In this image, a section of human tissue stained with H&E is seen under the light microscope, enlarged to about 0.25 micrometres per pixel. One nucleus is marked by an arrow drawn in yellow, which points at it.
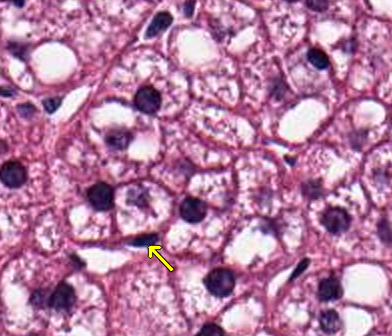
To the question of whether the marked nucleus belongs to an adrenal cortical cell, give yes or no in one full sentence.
No, the marked nucleus is assigned not to an adrenal cortical cell but to a supporting cell.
